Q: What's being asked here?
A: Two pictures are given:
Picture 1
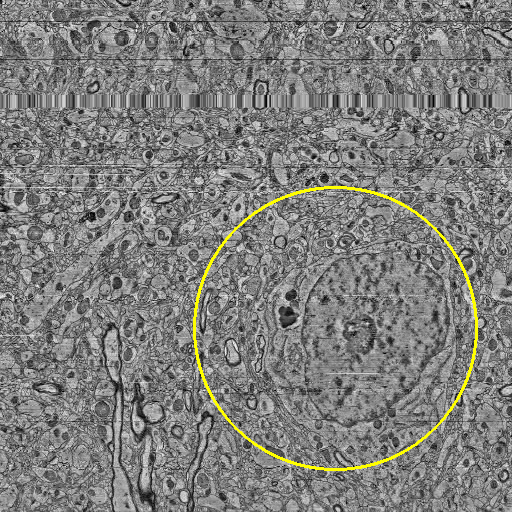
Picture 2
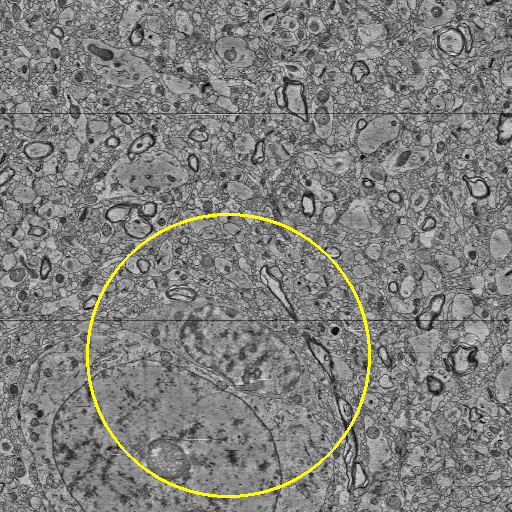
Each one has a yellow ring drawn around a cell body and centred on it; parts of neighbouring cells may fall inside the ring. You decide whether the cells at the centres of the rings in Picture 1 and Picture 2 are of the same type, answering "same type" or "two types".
two types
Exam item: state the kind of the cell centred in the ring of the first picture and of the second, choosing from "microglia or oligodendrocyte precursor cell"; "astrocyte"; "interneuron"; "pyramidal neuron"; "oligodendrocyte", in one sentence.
The first picture shows an interneuron at the ring centre and the second shows an oligodendrocyte.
